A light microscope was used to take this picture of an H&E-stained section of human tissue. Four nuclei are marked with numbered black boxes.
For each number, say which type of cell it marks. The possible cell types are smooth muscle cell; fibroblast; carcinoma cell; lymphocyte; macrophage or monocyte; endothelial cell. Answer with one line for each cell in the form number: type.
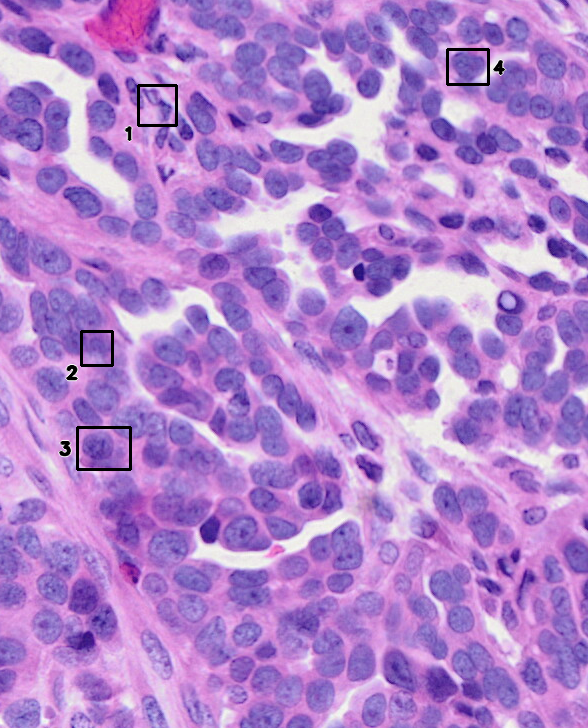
1: fibroblast
2: carcinoma cell
3: carcinoma cell
4: carcinoma cell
